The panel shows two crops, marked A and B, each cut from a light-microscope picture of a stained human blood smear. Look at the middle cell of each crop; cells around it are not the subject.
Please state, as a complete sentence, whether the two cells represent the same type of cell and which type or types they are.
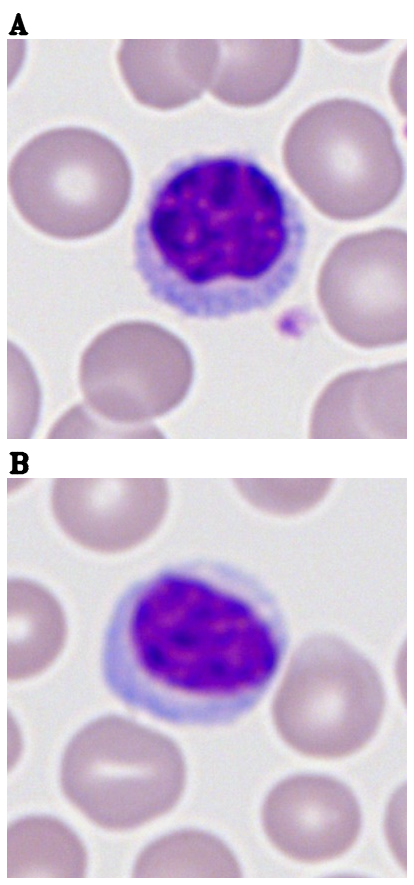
Yes, in the middle of both crops, lymphocytes are shown.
